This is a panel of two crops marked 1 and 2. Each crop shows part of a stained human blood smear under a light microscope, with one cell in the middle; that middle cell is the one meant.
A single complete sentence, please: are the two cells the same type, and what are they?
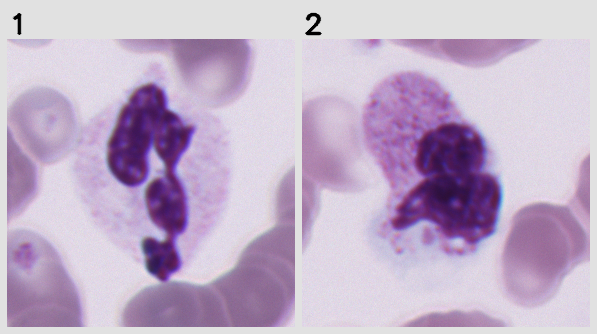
Yes, as an answer for this item, both crops show segmented neutrophils.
